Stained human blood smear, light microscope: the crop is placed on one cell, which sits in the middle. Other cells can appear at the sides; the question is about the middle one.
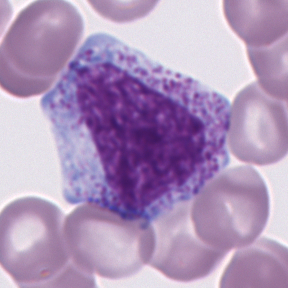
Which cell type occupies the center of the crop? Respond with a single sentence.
The central cell, amid any neighbouring cells, is a promyelocyte.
